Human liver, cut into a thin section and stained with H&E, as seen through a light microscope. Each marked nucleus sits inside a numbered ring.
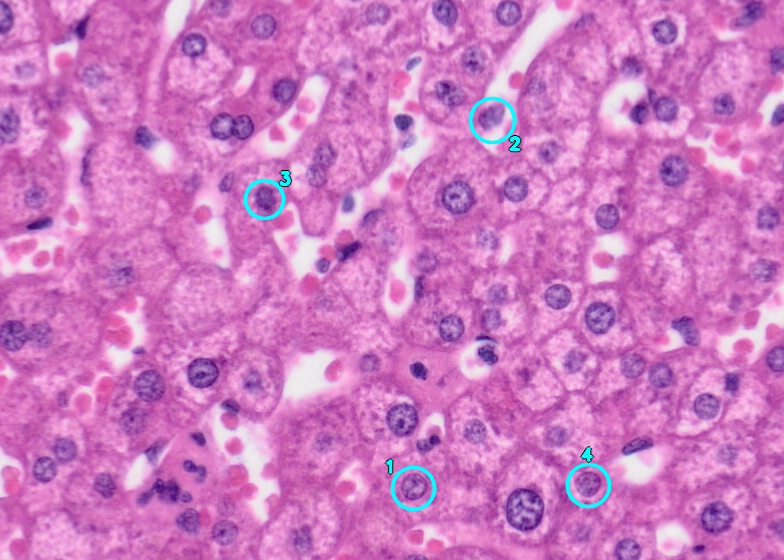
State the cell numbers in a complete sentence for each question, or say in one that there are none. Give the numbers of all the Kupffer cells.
Only the cell with the number 2 is a Kupffer cell.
